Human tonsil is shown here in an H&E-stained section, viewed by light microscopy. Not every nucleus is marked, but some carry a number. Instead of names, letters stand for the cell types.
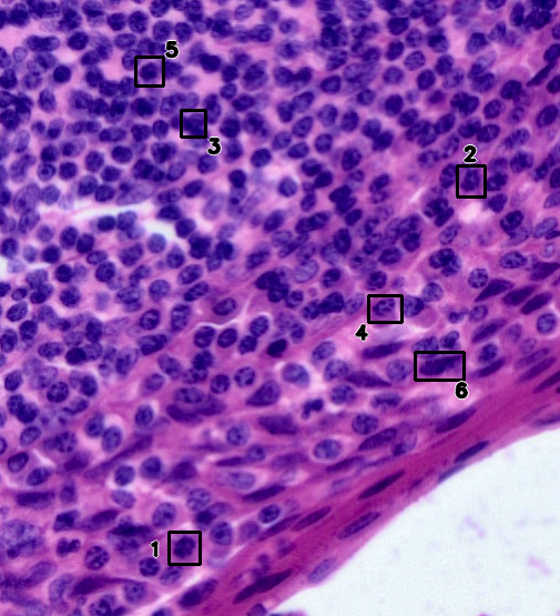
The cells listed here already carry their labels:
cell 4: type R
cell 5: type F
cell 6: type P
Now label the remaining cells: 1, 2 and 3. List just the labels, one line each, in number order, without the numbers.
type R
type R
type F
